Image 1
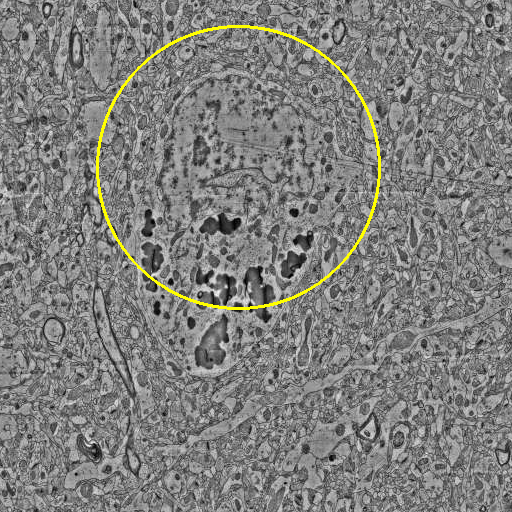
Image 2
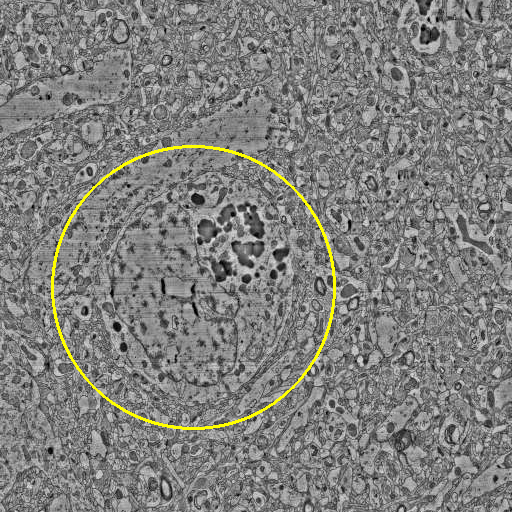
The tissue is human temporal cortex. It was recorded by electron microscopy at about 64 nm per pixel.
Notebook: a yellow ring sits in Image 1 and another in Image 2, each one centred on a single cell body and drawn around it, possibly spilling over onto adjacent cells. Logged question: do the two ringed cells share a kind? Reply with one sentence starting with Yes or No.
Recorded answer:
No, the centre cells inside the rings of Image 1 and Image 2 are of two kinds.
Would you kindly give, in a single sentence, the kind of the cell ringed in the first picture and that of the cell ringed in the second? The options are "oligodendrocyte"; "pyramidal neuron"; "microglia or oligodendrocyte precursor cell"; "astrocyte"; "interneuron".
The second cell is an astrocyte, and the first cell is an interneuron.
